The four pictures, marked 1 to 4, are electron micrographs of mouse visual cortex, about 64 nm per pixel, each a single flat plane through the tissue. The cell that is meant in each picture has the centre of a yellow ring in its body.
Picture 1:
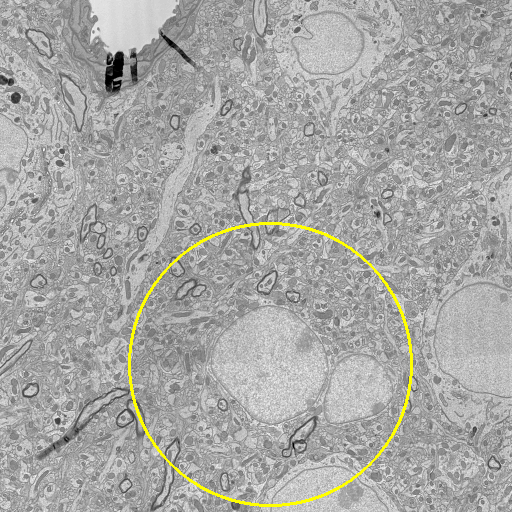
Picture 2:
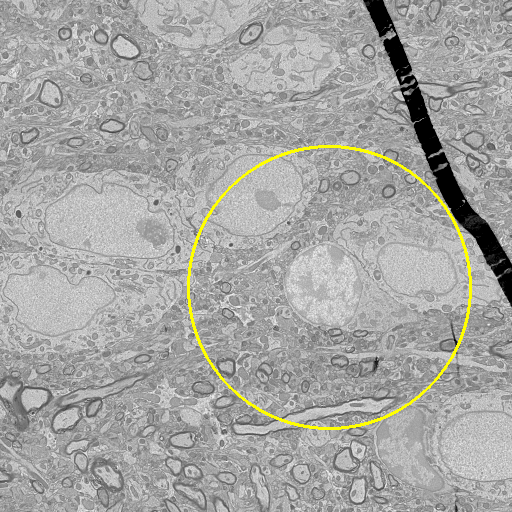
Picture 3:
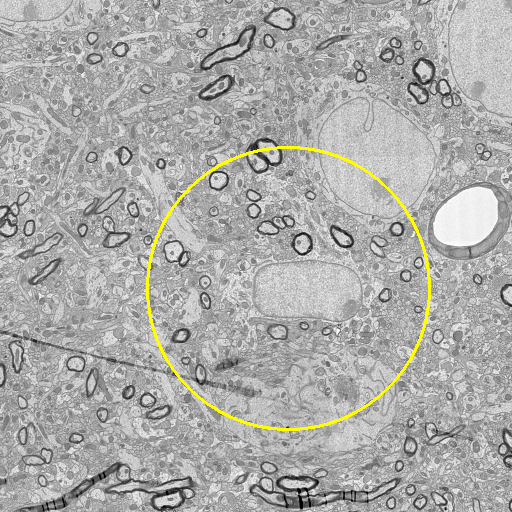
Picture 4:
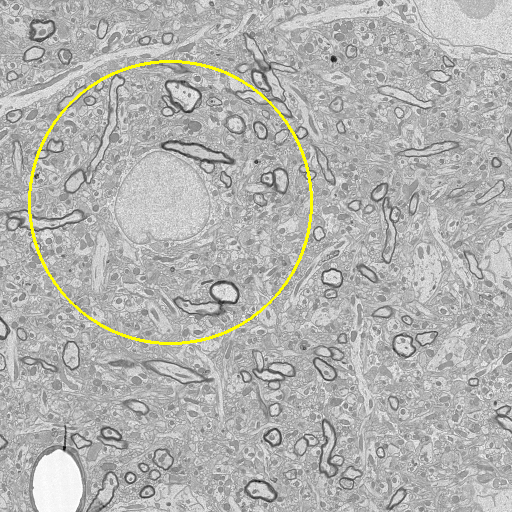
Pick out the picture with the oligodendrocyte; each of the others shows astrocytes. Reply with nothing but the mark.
2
